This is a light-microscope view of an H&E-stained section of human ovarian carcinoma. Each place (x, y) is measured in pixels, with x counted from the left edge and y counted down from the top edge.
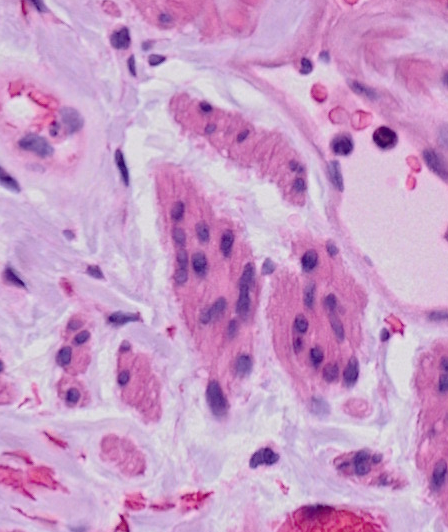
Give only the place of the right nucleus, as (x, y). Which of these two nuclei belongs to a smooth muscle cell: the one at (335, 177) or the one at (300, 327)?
(300, 327)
